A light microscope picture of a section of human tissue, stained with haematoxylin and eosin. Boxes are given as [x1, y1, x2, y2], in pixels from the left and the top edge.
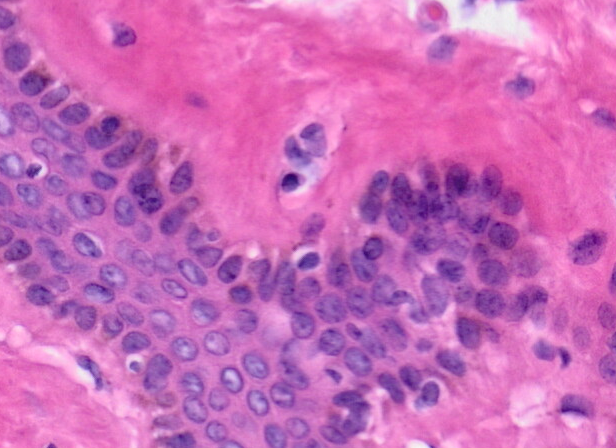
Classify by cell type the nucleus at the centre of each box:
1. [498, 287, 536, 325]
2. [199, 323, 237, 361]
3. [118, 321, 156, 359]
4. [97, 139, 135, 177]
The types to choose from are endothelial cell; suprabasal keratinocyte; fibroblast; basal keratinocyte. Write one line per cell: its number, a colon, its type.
1: basal keratinocyte
2: suprabasal keratinocyte
3: basal keratinocyte
4: basal keratinocyte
